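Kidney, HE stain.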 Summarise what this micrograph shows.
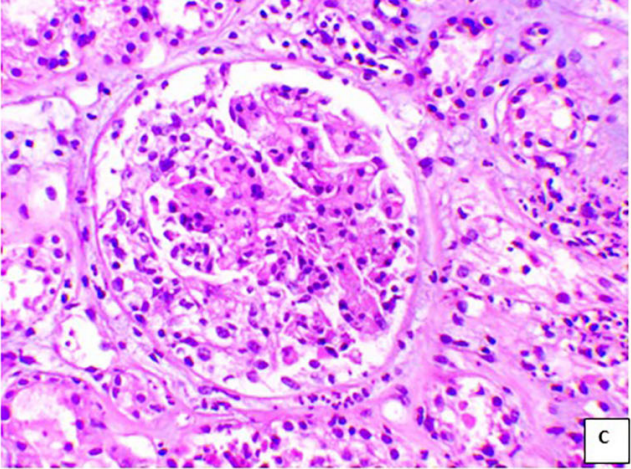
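A glomerulus lies within its round capsule. Layers of cells fill much of the space between the capsule and the capillary tuft, forming a cellular crescent. The tuft itself is crowded with nuclei. Tubules with pale, vacuolated pink cytoplasm lie around it.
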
